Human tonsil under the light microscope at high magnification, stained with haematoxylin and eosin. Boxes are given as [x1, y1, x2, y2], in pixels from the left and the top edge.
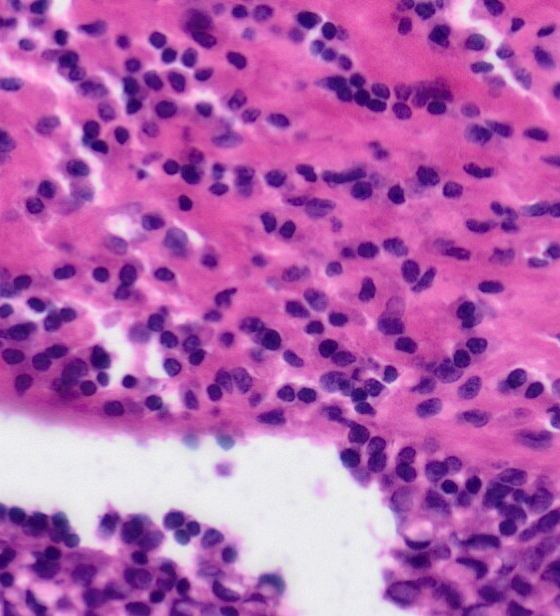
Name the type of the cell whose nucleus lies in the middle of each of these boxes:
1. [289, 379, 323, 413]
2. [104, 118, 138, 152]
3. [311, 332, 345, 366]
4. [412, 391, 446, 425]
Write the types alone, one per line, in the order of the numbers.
plasma cell
plasma cell
plasma cell
endothelial cell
